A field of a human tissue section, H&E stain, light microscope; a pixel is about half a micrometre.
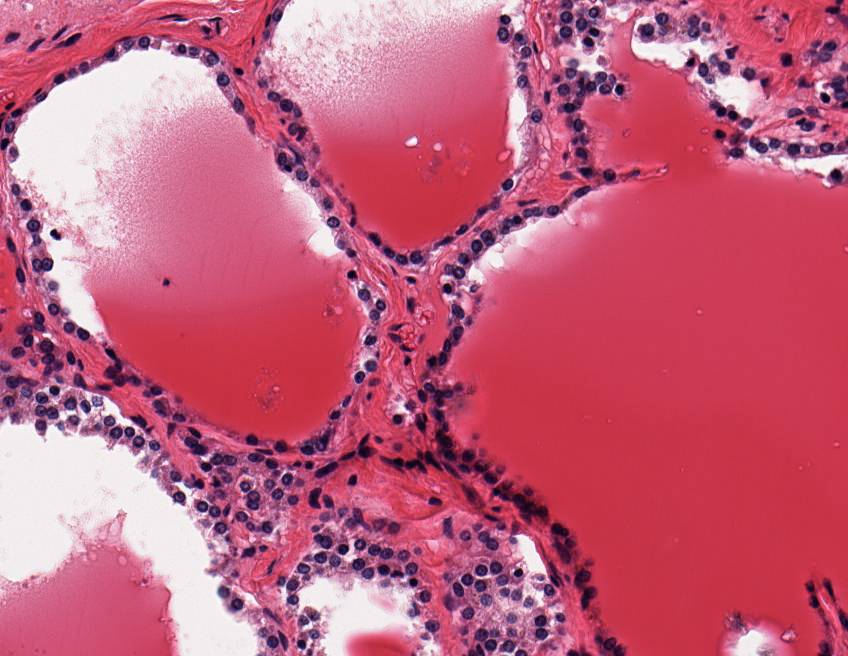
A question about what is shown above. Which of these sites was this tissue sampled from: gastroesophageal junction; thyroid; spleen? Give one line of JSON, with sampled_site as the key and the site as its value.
{"sampled_site": "thyroid"}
